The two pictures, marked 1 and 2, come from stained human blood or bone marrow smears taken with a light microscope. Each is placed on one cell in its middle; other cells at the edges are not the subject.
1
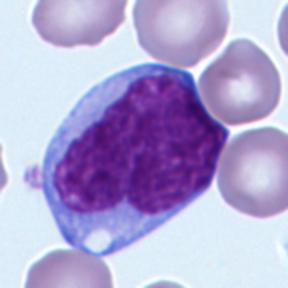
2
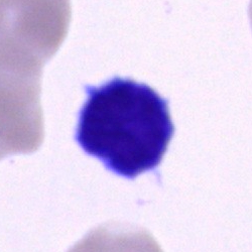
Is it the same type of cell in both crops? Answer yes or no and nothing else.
no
